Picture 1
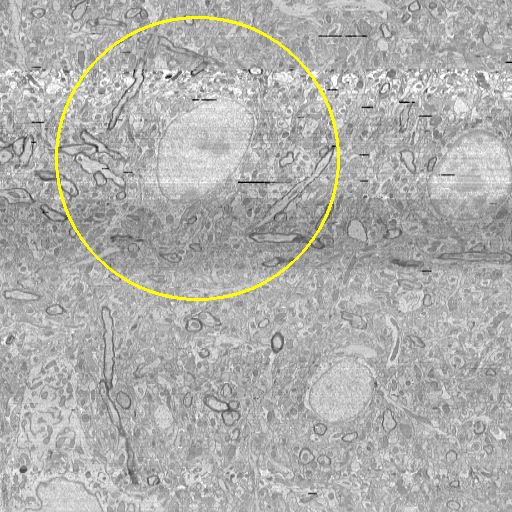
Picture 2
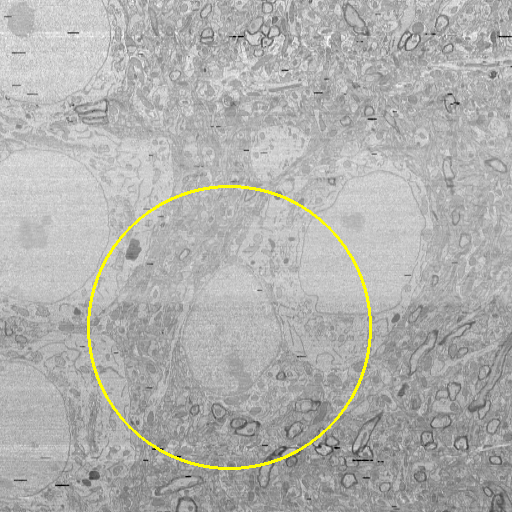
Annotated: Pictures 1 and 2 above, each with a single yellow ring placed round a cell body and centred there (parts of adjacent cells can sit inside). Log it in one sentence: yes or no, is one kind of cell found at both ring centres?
Yes, the ring centres of the two pictures hold cells of one kind.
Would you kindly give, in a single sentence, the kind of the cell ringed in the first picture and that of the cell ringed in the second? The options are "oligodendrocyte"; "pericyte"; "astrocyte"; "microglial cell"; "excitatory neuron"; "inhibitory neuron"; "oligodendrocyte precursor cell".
Each of the two rings is centred on an astrocyte.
